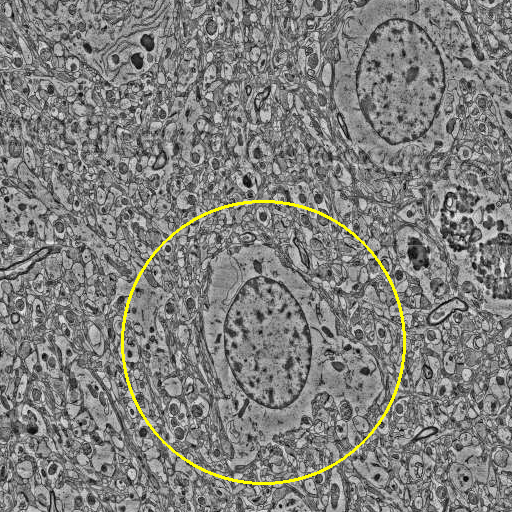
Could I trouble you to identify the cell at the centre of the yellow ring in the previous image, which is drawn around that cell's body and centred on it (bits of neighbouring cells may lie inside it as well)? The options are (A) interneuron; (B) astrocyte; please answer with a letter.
B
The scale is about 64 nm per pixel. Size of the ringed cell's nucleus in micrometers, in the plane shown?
Approximately 8 micrometres long and 5 micrometres wide, so clearly longer than it is wide in this plane.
